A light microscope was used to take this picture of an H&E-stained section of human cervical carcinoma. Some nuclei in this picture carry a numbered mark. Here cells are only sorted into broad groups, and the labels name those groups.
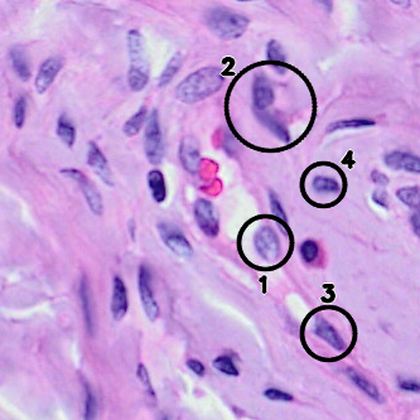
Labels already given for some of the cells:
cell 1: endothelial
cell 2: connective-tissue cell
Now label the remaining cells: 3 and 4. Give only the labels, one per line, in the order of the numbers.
endothelial
connective-tissue cell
